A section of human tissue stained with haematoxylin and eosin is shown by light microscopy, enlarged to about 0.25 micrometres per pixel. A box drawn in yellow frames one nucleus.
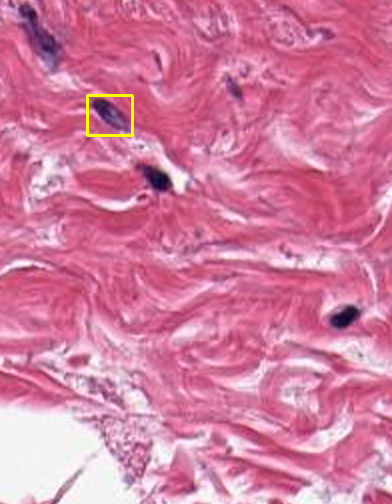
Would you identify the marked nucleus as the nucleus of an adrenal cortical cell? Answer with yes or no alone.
no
